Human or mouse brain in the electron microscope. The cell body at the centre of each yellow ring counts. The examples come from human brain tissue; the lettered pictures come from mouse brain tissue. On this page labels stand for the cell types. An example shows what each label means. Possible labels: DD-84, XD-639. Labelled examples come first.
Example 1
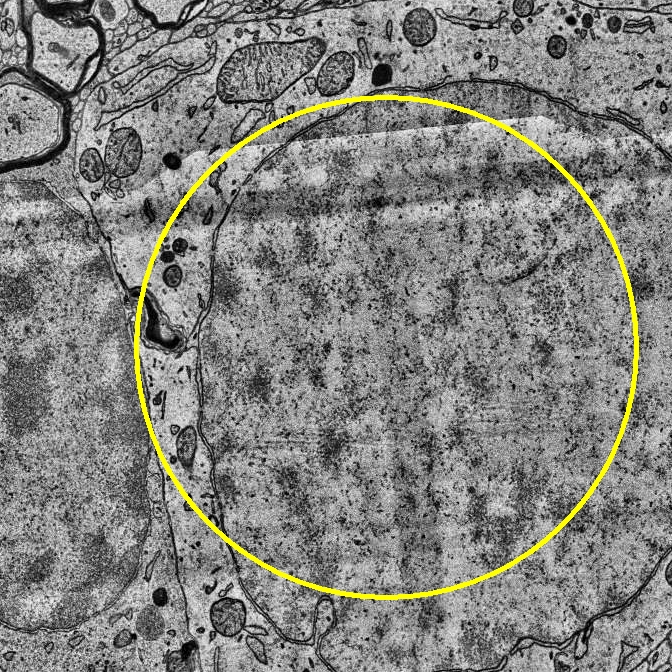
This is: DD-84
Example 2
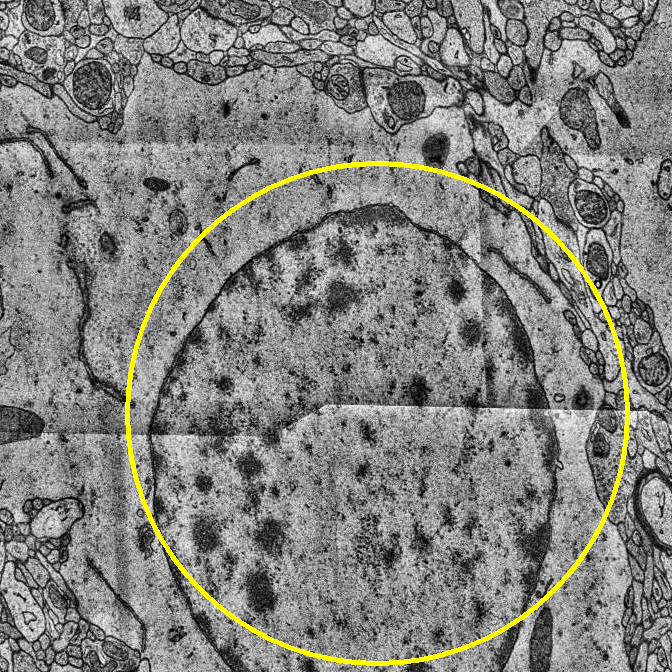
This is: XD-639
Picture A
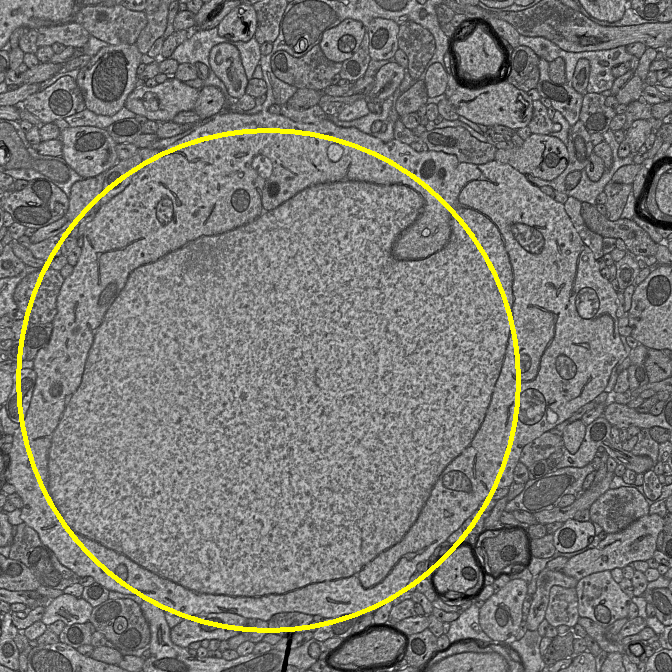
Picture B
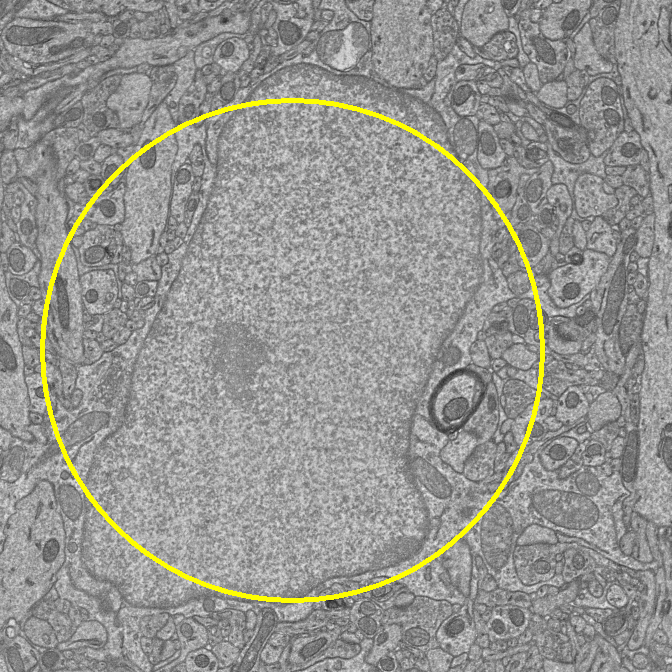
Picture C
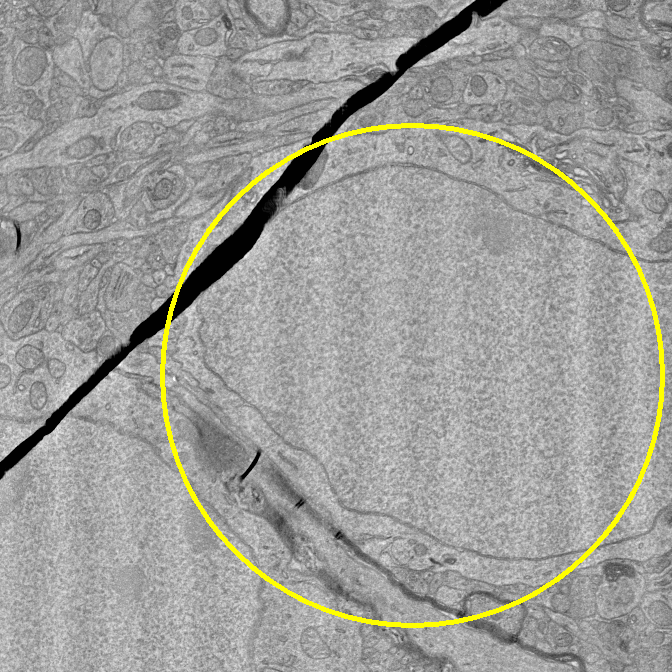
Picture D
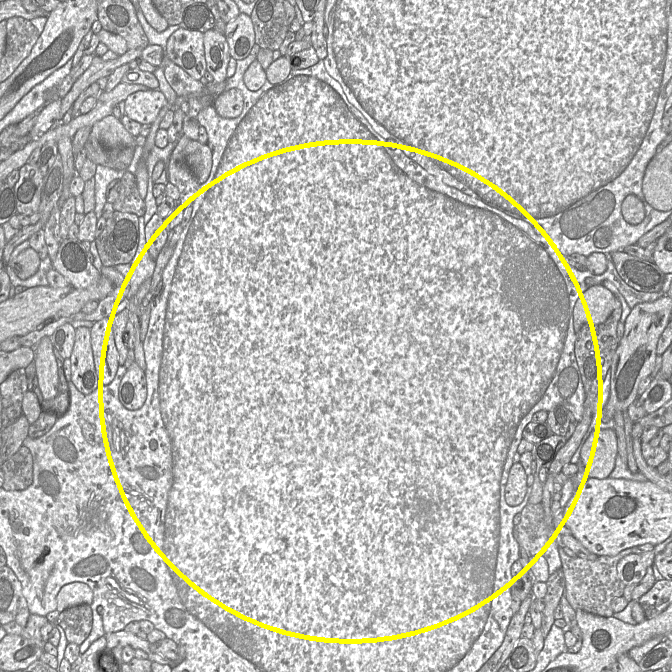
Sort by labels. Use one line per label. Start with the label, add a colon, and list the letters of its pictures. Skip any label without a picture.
DD-84: A, C
XD-639: B, D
